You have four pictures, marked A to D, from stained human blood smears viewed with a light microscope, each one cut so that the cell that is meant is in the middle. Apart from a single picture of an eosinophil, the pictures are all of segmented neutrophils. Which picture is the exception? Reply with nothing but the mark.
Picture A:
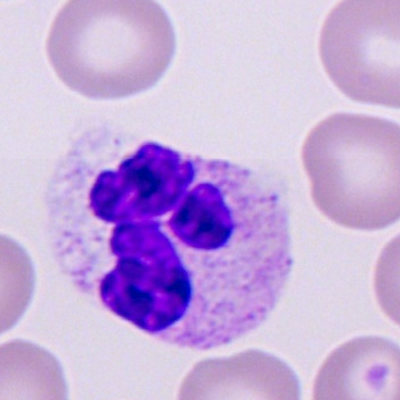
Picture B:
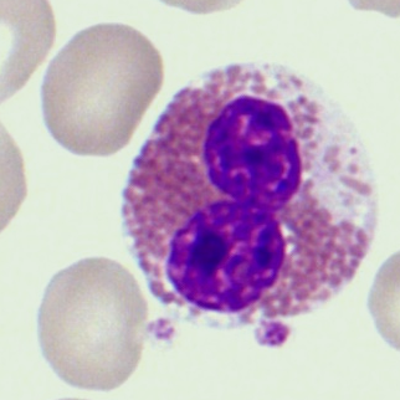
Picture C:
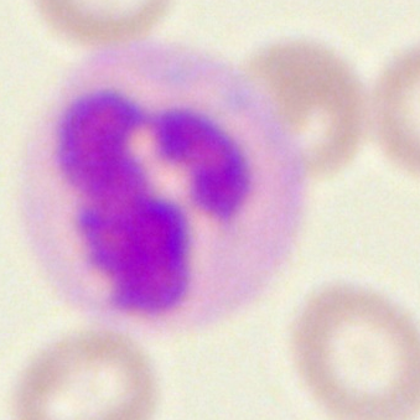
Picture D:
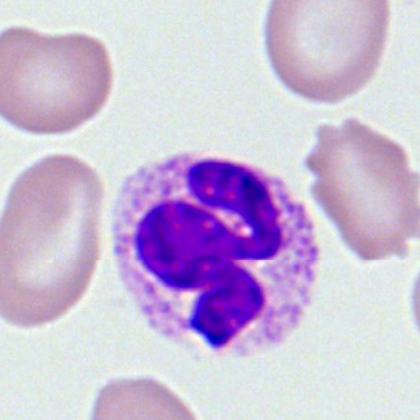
B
